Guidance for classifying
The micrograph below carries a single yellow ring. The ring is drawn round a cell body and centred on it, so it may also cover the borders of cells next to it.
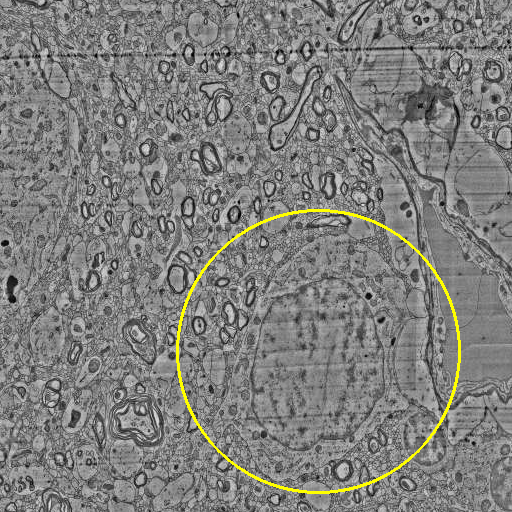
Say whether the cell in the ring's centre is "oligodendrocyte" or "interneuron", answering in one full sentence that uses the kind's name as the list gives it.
Within the yellow ring, an interneuron is the cell whose body sits at the centre.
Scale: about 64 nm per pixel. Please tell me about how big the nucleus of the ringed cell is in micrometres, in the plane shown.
The nucleus is approximately 11 micrometers long by 9 micrometers wide in this plane.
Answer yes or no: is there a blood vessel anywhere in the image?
Yes, the picture includes a blood vessel.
